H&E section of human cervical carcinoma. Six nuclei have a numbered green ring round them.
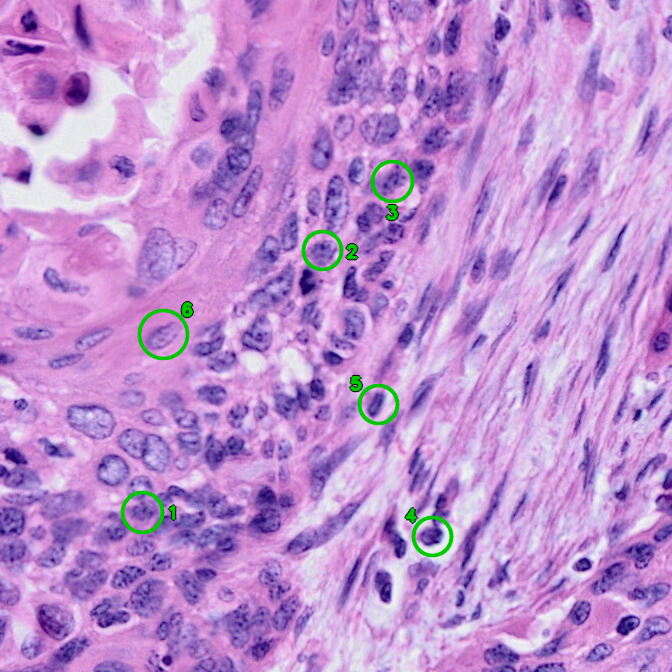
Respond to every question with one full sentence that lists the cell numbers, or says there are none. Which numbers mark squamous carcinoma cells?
The cells that have numbers 1, 2, 3 and 6 are squamous carcinoma cells.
